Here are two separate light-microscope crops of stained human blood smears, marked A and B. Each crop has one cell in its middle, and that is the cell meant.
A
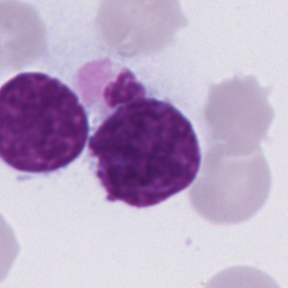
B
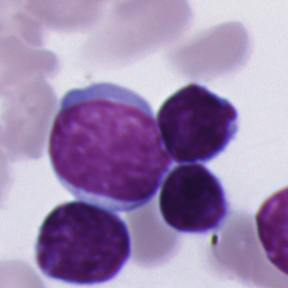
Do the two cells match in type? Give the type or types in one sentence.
Yes, these two crops both show blasts.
